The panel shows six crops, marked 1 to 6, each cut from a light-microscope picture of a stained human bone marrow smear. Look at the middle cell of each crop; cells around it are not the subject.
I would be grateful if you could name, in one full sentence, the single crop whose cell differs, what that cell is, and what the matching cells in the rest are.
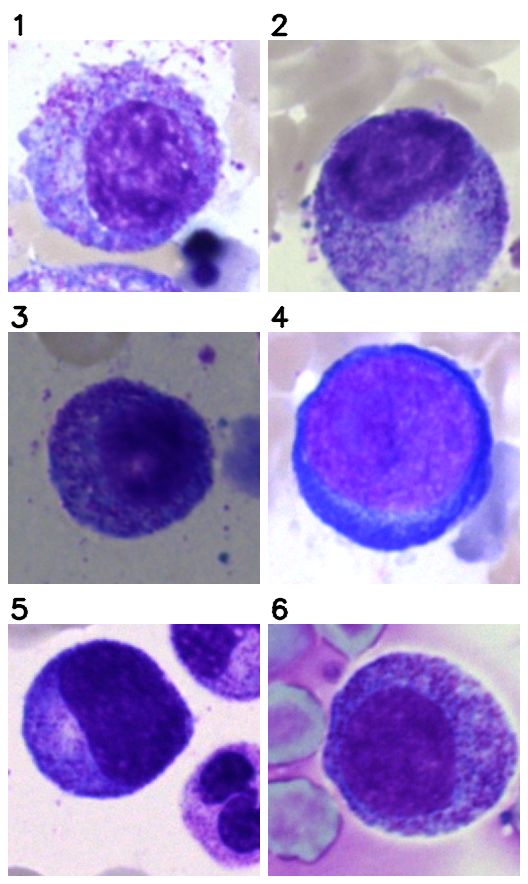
Unlike the other crops, all showing promyelocytes, crop 4 is a proerythroblast.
